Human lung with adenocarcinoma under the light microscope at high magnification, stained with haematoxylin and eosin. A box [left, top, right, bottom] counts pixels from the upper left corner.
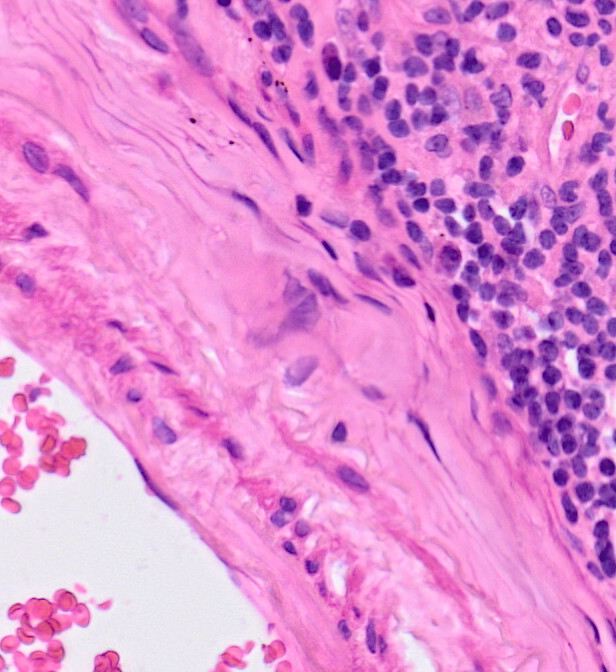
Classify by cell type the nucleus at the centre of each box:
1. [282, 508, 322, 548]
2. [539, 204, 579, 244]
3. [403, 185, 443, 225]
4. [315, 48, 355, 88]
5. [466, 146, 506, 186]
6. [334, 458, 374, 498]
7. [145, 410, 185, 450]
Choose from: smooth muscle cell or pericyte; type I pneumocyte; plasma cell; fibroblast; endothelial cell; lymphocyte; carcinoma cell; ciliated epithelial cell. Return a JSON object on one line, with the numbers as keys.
{"1": "smooth muscle cell or pericyte", "2": "lymphocyte", "3": "lymphocyte", "4": "plasma cell", "5": "lymphocyte", "6": "smooth muscle cell or pericyte", "7": "smooth muscle cell or pericyte"}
